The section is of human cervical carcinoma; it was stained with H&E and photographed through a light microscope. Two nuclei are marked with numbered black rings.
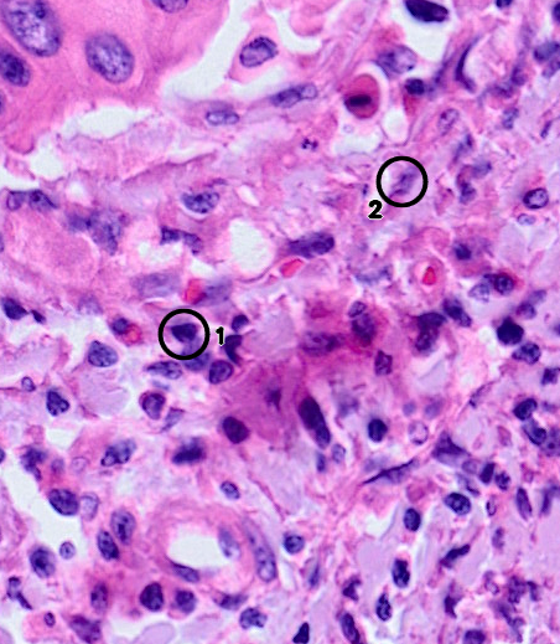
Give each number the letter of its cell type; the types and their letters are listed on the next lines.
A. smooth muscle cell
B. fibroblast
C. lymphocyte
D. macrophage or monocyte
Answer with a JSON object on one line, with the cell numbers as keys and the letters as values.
{"1": "C", "2": "B"}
